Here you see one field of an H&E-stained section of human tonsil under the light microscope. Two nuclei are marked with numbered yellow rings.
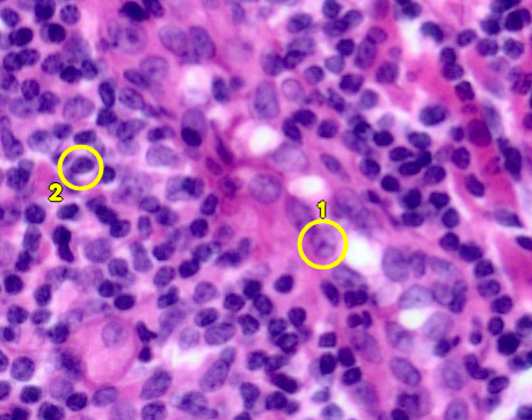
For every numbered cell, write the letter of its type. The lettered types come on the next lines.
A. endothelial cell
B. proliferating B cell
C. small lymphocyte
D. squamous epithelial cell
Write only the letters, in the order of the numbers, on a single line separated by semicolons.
A; C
